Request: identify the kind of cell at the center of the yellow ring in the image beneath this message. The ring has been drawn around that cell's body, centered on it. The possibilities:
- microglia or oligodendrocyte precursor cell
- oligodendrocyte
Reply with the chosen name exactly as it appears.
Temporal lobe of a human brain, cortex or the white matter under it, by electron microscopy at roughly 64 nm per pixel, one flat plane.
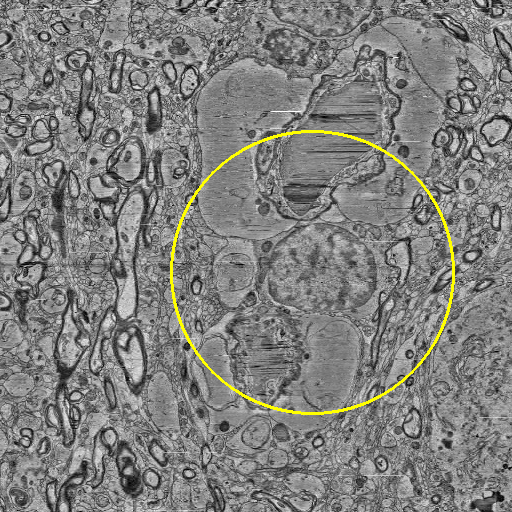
oligodendrocyte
